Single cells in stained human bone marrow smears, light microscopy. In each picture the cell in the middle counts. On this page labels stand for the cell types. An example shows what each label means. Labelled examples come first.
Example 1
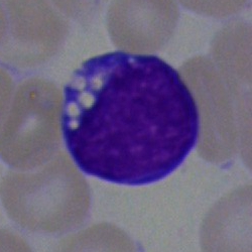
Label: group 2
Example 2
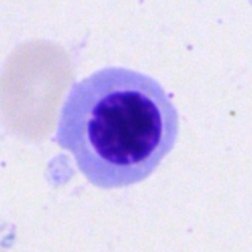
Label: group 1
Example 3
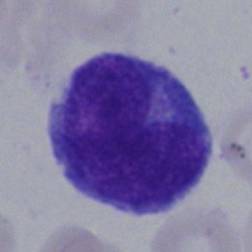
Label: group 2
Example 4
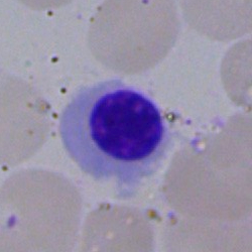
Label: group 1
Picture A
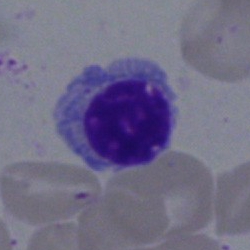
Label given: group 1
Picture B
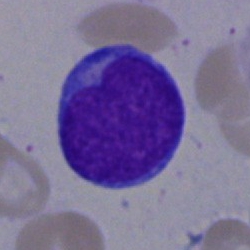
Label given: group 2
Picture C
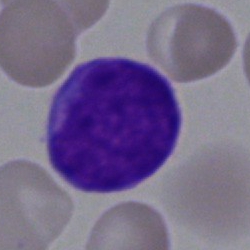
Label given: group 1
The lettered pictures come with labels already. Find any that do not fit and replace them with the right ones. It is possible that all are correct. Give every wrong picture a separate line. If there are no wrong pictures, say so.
C: group 2, not group 1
